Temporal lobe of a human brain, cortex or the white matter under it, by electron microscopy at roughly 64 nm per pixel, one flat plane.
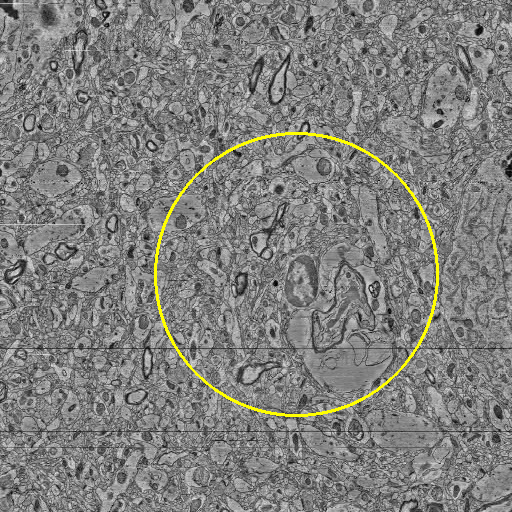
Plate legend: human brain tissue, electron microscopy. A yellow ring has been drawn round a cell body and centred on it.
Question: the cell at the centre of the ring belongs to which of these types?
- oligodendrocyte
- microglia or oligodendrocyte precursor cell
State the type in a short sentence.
The cell in the middle of the ring is a microglial cell or oligodendrocyte precursor cell.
